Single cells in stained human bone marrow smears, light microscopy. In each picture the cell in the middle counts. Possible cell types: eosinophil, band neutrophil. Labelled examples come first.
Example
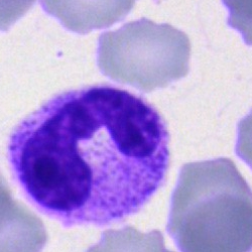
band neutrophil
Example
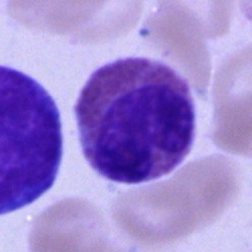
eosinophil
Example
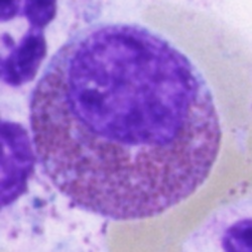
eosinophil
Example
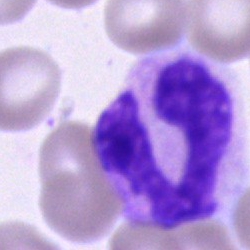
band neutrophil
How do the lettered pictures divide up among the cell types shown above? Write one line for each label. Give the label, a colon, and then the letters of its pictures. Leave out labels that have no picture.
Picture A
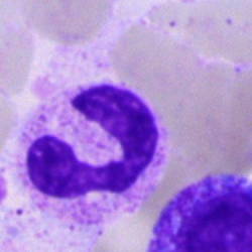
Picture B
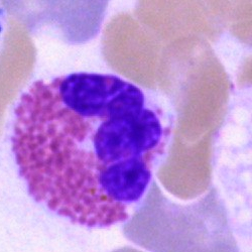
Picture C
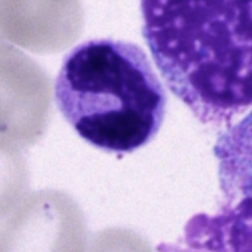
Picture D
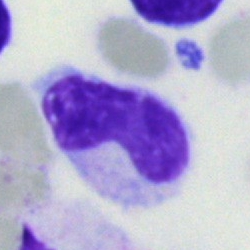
eosinophil: B
band neutrophil: A, C, D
